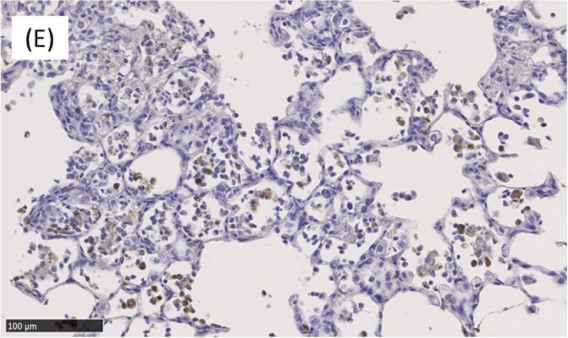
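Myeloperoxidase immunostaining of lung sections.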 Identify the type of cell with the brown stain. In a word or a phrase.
inflammatory cells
